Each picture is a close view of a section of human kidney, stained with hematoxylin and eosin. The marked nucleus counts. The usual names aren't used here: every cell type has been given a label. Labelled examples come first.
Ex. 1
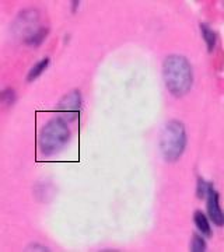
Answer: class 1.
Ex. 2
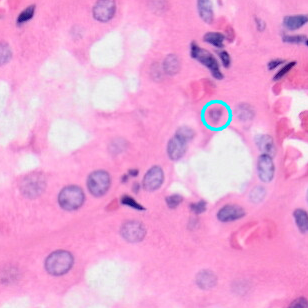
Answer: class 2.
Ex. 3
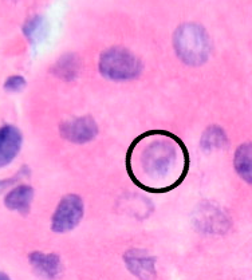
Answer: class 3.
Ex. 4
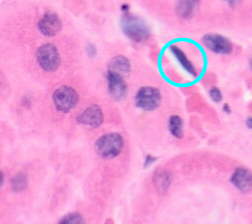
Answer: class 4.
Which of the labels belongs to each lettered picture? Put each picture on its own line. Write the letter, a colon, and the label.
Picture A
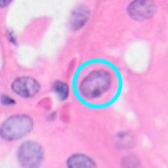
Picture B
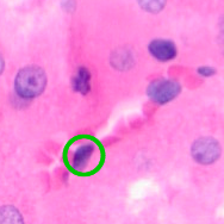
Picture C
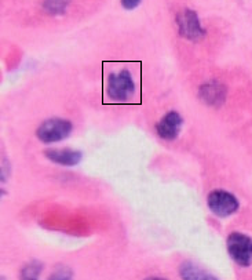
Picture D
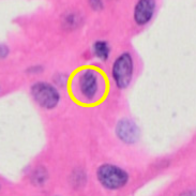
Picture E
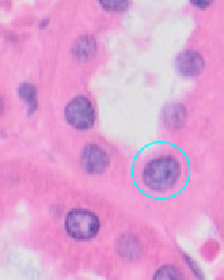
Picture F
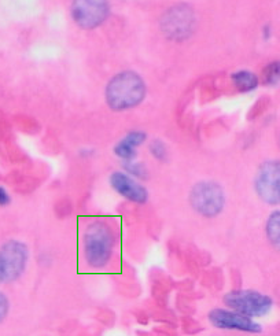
A: class 3.
B: class 4.
C: class 1.
D: class 4.
E: class 1.
F: class 4.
